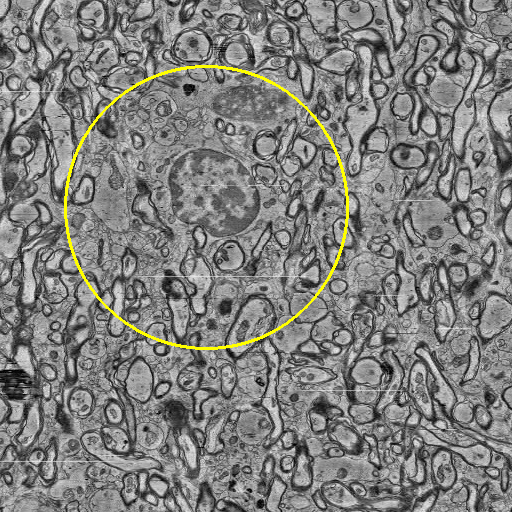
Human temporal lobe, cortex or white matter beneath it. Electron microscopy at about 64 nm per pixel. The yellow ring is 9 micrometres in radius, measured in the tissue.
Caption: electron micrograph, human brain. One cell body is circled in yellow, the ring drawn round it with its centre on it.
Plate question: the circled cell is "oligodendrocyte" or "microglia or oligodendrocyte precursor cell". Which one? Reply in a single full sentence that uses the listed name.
The yellow ring on the plate is centred on a microglial cell or oligodendrocyte precursor cell, going by the listed names.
